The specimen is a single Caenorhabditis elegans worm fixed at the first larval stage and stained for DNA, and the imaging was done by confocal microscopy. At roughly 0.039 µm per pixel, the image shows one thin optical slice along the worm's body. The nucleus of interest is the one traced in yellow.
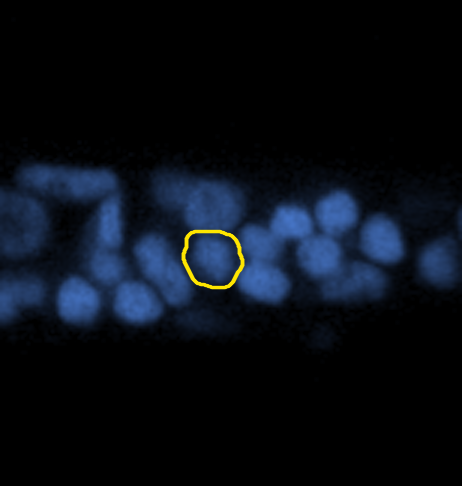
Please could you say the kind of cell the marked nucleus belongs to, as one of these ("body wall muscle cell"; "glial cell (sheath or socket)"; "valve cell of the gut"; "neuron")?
neuron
